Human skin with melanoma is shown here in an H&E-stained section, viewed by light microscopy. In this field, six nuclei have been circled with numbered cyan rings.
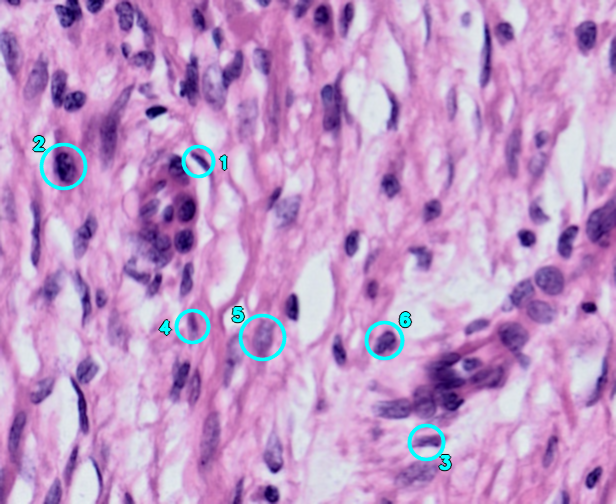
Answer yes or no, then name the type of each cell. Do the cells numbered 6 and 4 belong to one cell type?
No, cell 6 is a macrophage or monocyte, and cell 4 is, by contrast, a fibroblast or myofibroblast.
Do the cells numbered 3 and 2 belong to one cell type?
No, cell 3 is interpreted as a fibroblast or myofibroblast, and cell 2 is interpreted as a plasma cell.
